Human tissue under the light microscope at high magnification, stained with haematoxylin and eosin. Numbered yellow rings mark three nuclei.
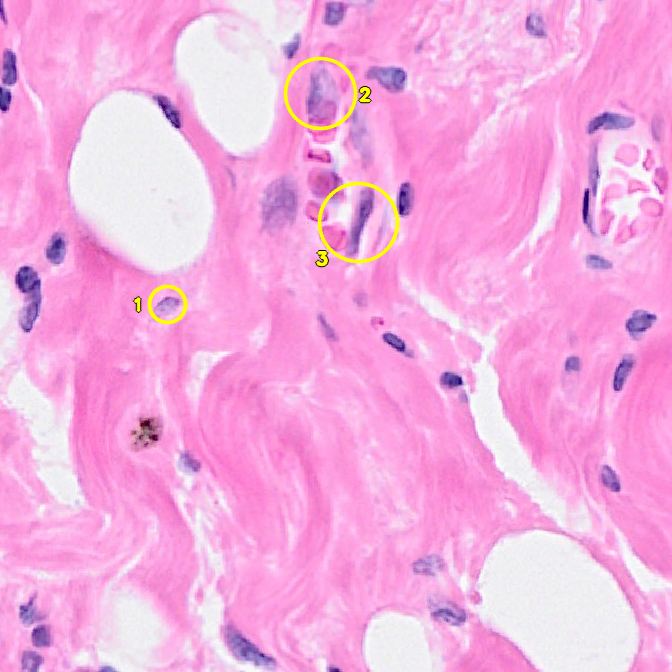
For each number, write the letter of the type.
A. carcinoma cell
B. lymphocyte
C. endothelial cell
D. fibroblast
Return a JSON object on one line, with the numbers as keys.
{"1": "D", "2": "C", "3": "C"}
